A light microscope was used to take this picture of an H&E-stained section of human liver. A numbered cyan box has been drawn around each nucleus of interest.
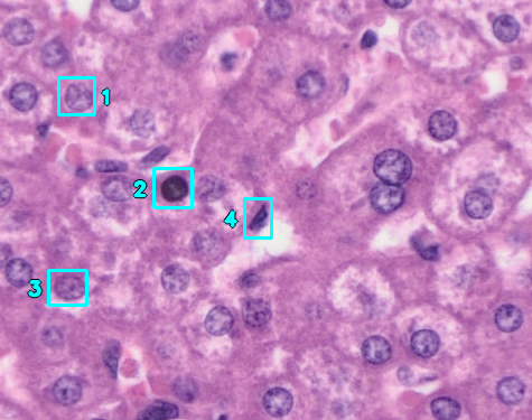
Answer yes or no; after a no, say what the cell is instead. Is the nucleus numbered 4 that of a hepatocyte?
No, it is an endothelial cell.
